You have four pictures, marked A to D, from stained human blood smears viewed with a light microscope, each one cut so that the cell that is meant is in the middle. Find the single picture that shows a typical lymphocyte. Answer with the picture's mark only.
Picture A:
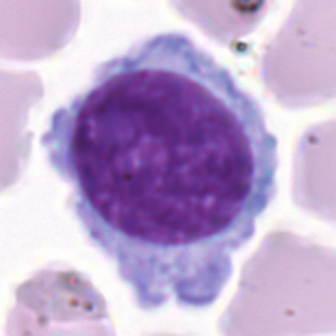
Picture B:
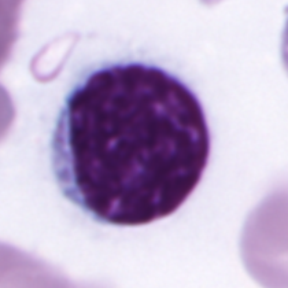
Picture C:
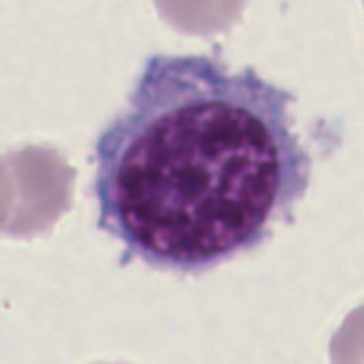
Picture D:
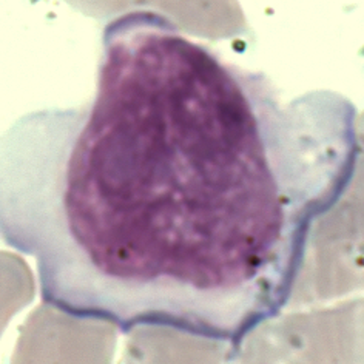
B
